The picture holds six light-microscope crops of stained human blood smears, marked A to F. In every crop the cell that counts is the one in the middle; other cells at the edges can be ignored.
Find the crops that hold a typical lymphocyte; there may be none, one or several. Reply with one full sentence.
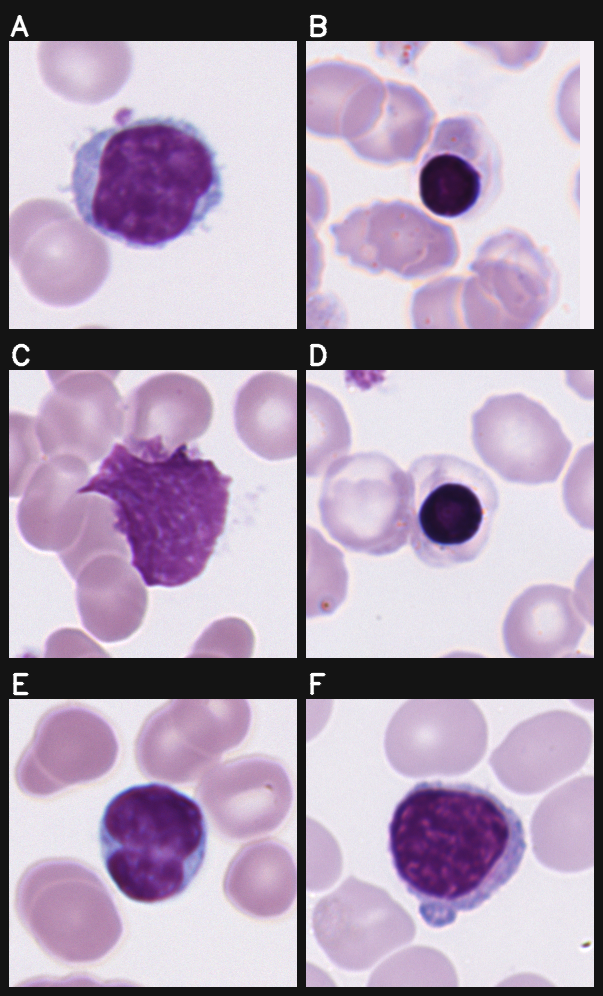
Crops A, E and F have typical lymphocytes sitting at their centres.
